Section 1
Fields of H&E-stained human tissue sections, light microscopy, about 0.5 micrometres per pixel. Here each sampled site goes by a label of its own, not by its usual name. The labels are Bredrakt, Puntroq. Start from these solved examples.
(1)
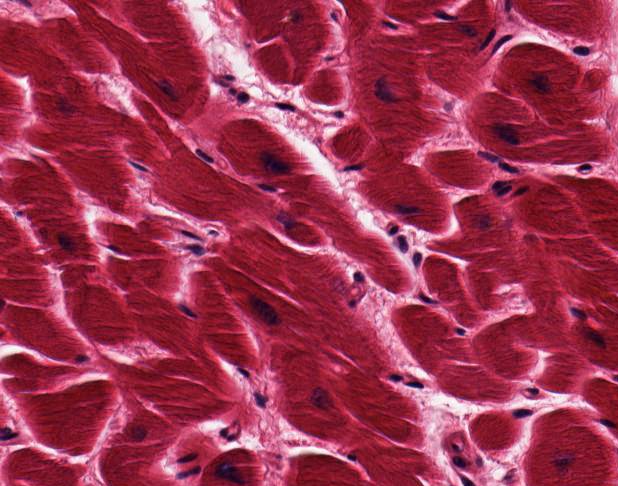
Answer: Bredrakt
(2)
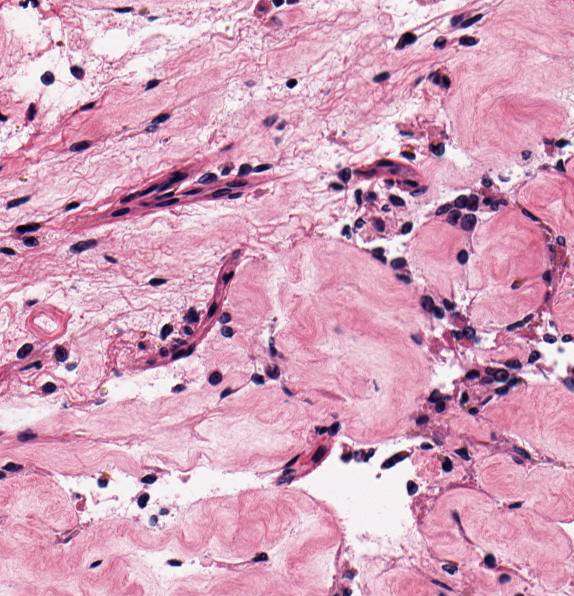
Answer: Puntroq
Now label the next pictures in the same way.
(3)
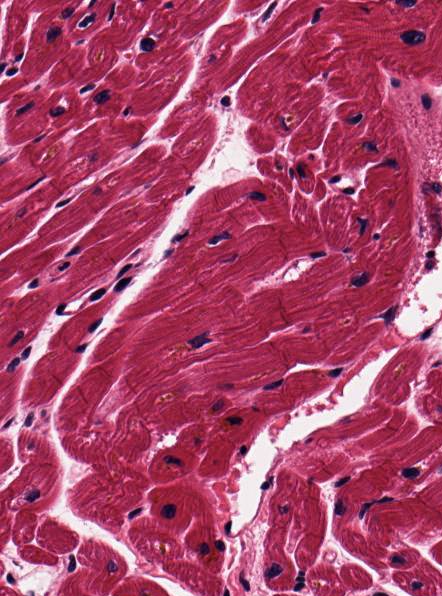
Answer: Bredrakt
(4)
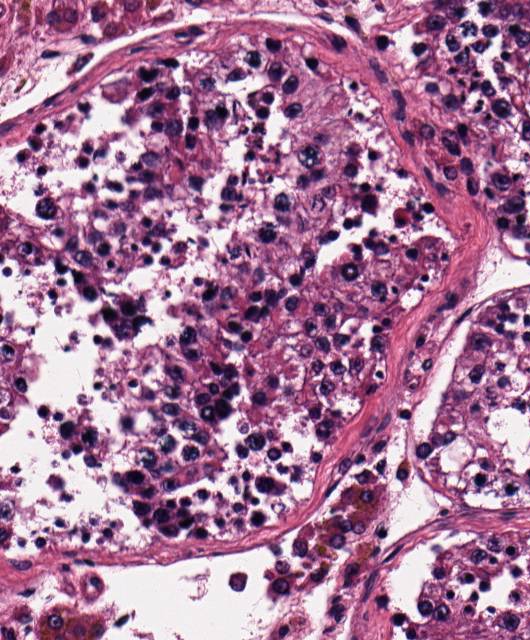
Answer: Puntroq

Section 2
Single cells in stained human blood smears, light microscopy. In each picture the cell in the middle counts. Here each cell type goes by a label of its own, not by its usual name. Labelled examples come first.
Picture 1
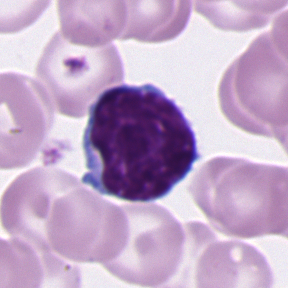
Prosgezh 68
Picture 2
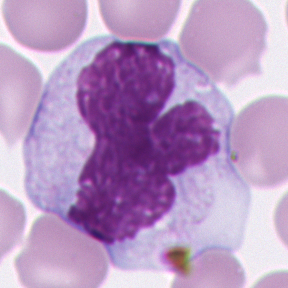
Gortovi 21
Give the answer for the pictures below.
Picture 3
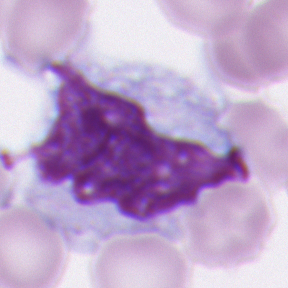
Gortovi 21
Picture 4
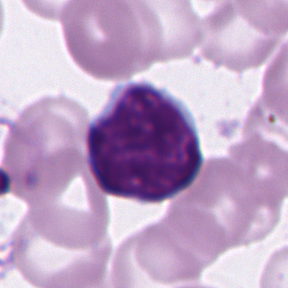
Prosgezh 68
